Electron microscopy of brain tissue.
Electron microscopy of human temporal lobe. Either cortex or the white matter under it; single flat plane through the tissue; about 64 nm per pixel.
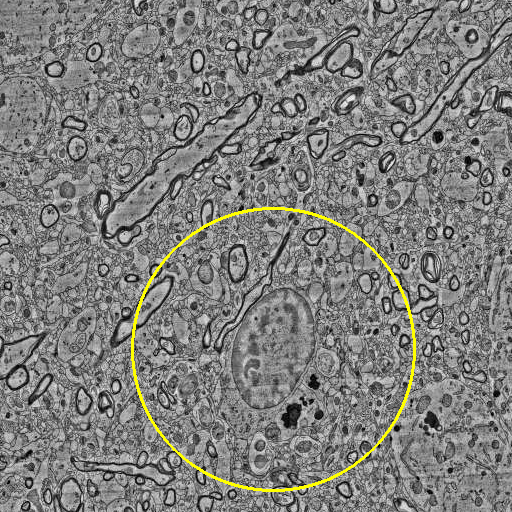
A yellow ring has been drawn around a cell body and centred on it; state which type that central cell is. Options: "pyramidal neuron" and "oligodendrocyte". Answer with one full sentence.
The cell at the middle of the yellow ring is an oligodendrocyte in this picture.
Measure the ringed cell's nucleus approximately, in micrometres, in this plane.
In this plane the nucleus is clearly longer than it is wide, at approximately 8 by 5 micrometres.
